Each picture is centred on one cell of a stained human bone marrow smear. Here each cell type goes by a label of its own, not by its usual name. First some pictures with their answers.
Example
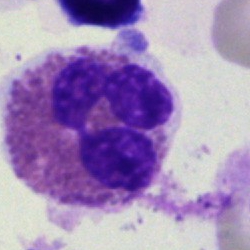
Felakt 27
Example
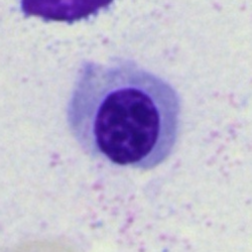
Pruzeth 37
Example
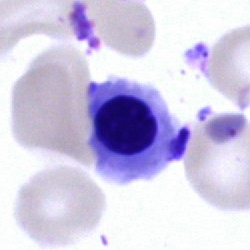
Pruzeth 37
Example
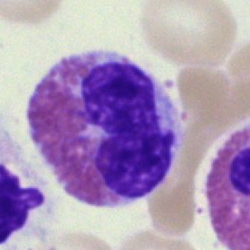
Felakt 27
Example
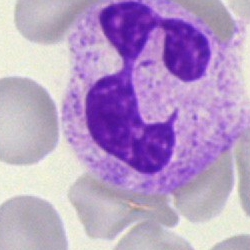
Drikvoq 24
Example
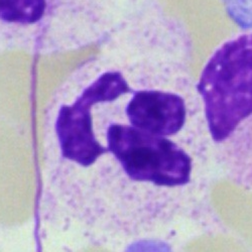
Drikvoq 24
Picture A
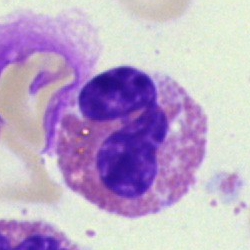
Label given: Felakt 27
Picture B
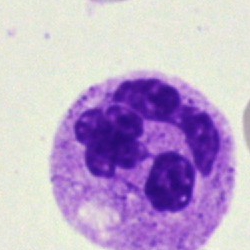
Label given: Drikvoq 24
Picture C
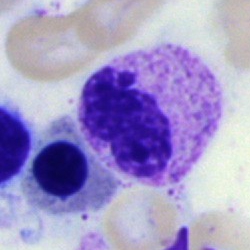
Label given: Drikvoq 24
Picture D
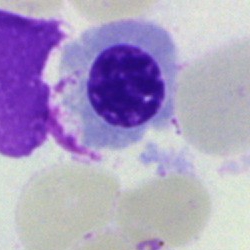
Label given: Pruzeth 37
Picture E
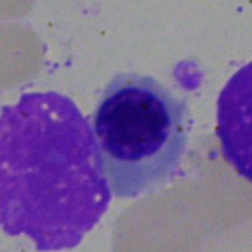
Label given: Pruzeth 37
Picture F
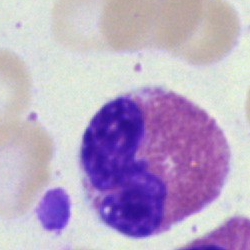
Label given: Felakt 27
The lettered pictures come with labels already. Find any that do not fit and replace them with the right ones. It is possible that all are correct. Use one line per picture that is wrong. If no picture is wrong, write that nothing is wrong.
Nothing to fix; every label fits.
